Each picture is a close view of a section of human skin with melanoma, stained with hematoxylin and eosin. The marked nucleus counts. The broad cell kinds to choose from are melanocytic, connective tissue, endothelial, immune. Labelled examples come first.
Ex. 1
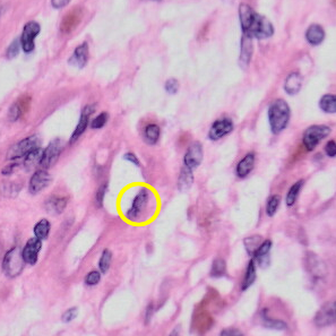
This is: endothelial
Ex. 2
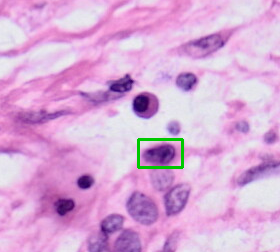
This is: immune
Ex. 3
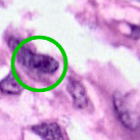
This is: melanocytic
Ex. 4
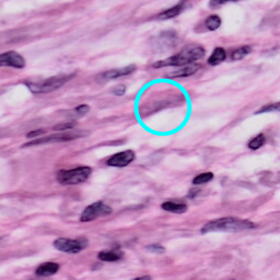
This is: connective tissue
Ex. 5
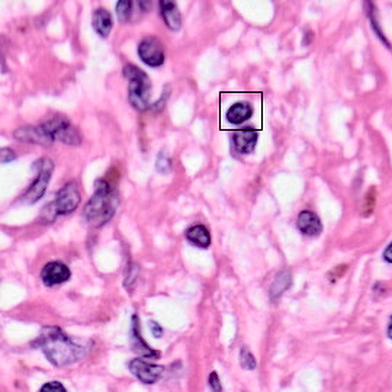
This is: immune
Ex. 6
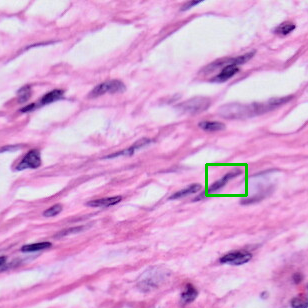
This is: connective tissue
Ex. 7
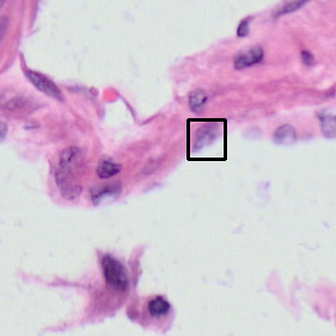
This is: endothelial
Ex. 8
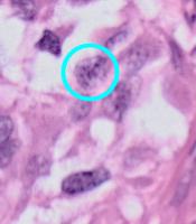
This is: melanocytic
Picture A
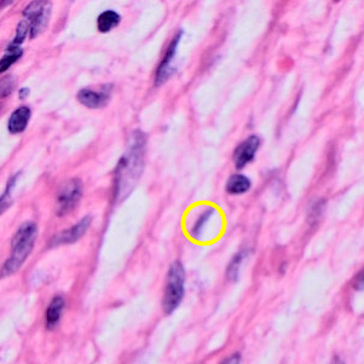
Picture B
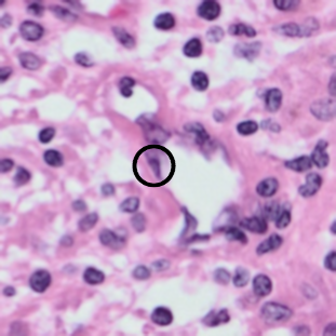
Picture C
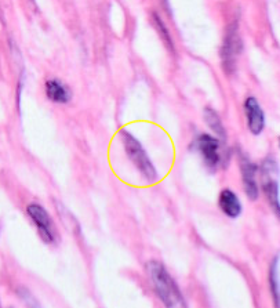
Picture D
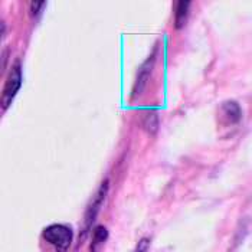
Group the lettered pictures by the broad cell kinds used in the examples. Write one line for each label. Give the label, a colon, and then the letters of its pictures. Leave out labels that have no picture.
connective tissue: A, C
endothelial: B, D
